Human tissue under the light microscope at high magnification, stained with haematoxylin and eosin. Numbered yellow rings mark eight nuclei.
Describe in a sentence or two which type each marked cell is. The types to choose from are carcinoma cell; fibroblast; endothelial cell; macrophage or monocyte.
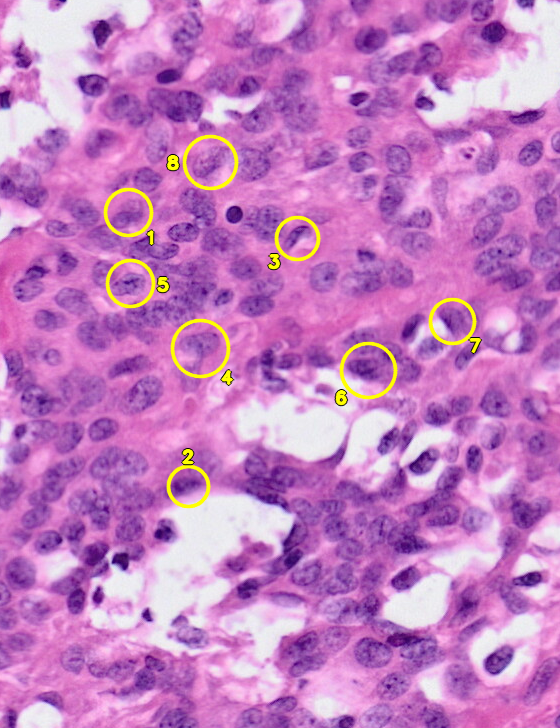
Cells 1, 2, 6, 7 and 8 are carcinoma cells. Cells 3 and 4 are endothelial cells. Cell 5 is a macrophage or monocyte.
